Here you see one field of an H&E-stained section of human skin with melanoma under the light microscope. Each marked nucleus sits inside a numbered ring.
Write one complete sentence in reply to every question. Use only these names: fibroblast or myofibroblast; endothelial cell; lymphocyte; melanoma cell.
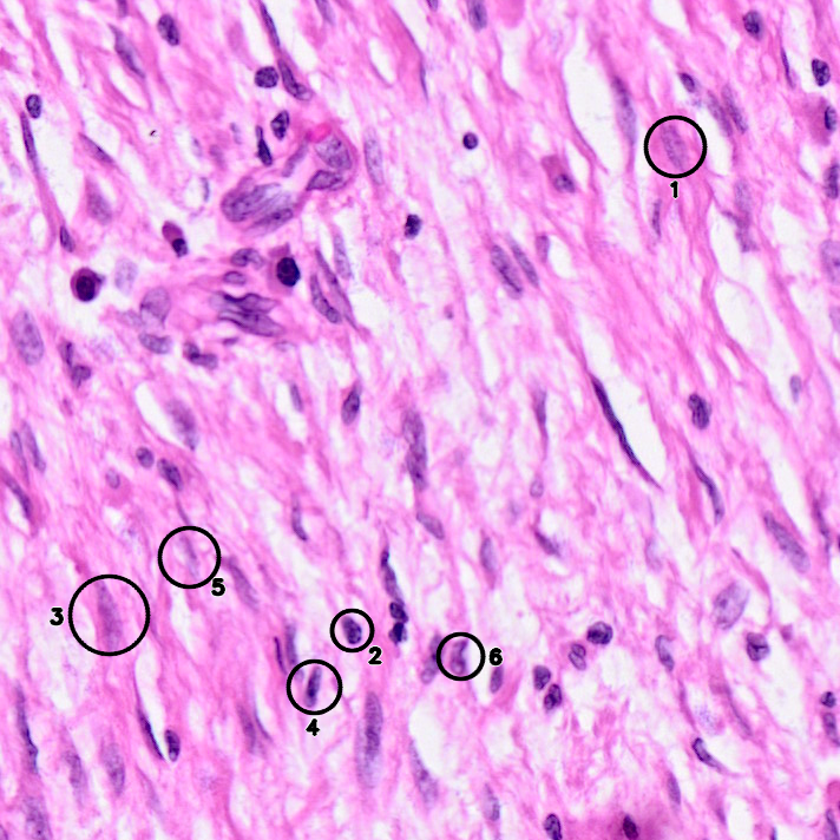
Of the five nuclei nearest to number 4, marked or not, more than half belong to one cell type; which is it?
Fibroblasts or myofibroblasts account for more than half of the five nuclei nearest to number 4.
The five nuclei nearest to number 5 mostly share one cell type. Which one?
Around number 5, most of the five nearest nuclei are those of fibroblasts or myofibroblasts.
